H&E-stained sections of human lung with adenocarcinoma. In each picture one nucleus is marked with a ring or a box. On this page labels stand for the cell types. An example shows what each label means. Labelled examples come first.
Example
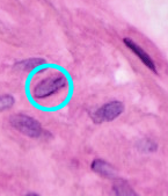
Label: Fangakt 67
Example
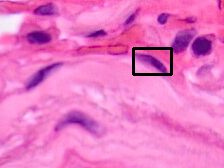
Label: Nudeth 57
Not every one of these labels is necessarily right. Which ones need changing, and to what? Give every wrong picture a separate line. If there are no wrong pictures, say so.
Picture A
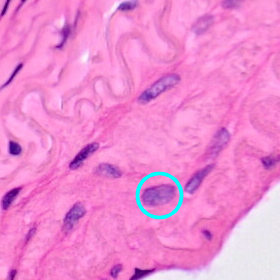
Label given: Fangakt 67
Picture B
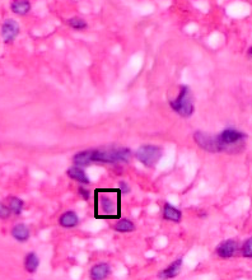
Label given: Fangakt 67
All correct.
